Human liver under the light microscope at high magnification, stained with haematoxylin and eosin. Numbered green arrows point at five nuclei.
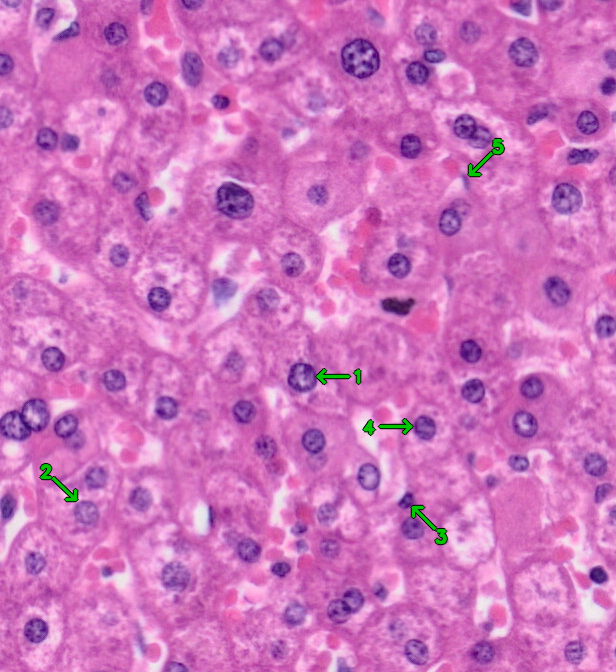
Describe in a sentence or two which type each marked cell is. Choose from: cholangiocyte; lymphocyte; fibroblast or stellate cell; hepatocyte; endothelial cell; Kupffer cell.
Cell 1 is a hepatocyte, cell 2 is a hepatocyte, cell 3 is a fibroblast or stellate cell, cell 4 is a hepatocyte and cell 5 is an endothelial cell.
